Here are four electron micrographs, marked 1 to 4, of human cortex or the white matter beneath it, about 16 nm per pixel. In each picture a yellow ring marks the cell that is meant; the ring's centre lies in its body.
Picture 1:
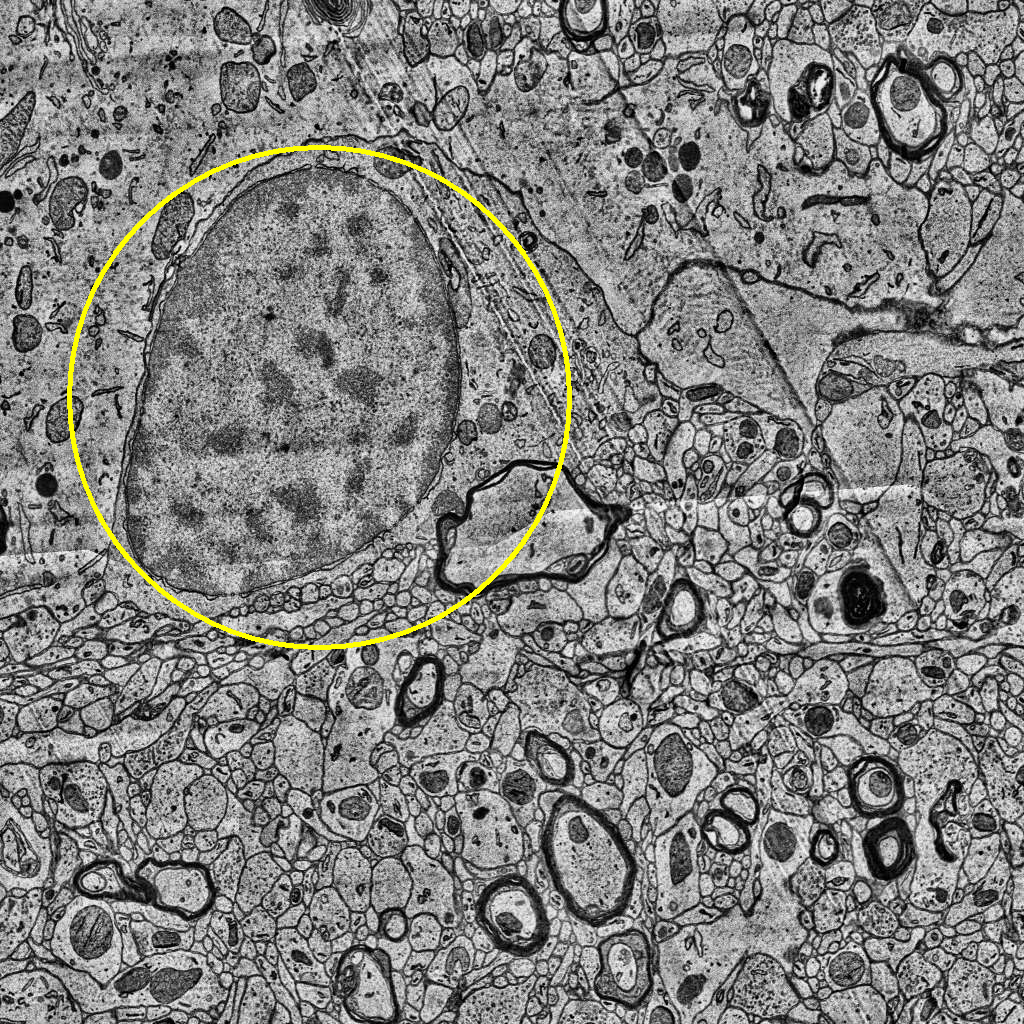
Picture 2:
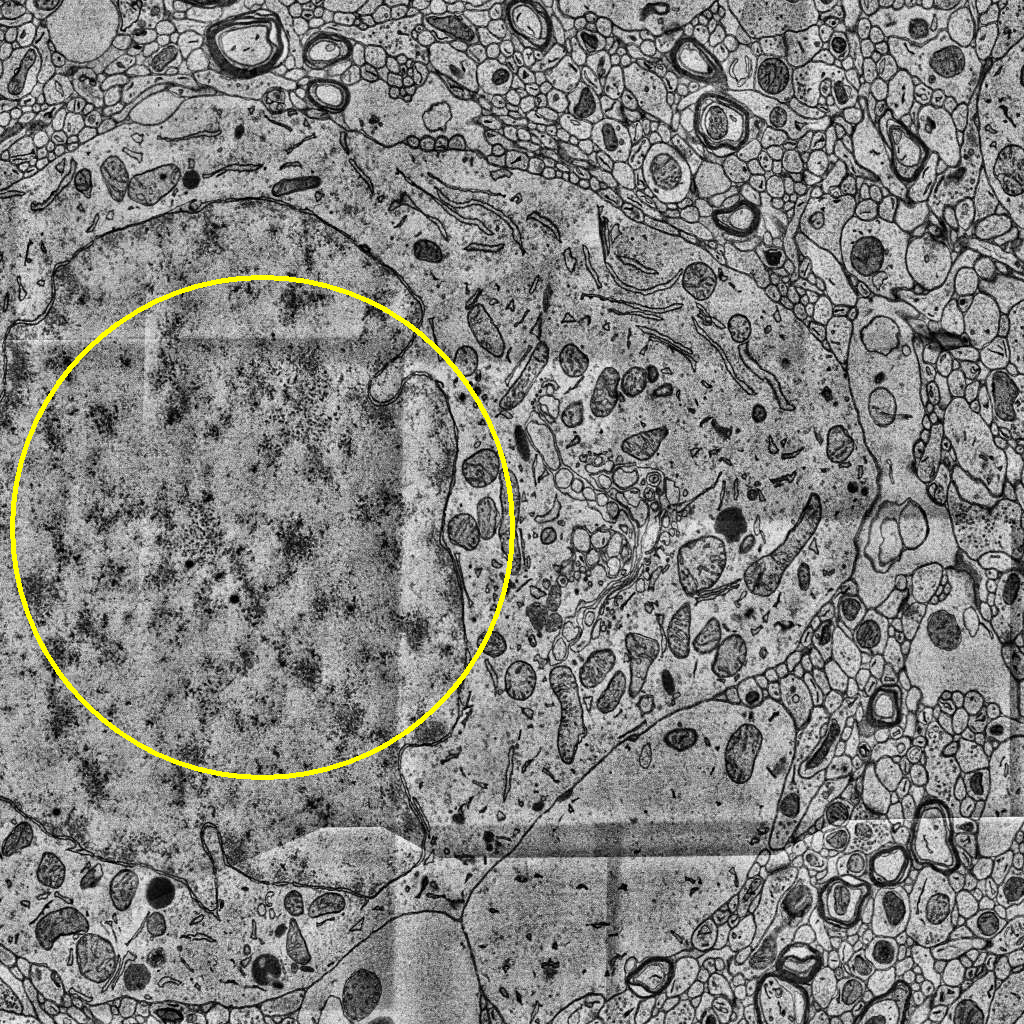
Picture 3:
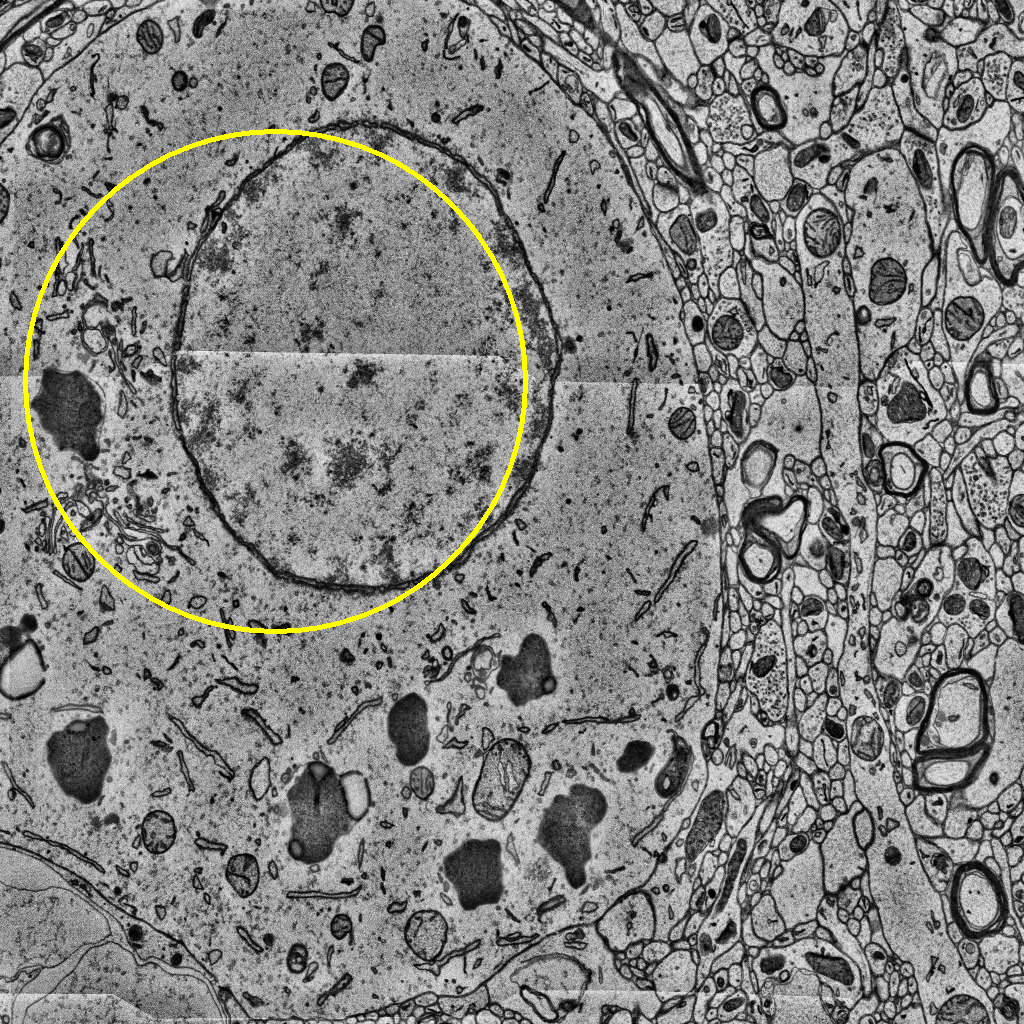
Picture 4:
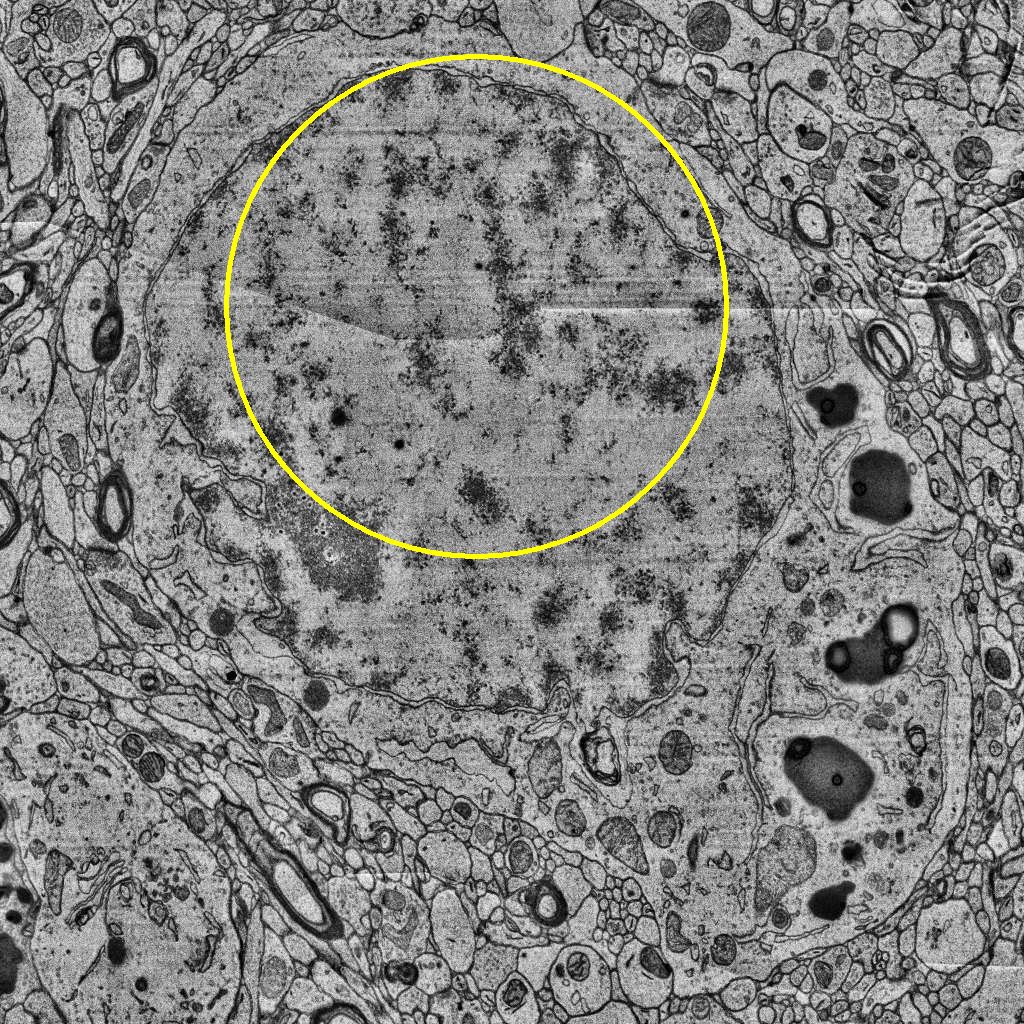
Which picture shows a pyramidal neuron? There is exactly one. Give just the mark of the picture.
3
